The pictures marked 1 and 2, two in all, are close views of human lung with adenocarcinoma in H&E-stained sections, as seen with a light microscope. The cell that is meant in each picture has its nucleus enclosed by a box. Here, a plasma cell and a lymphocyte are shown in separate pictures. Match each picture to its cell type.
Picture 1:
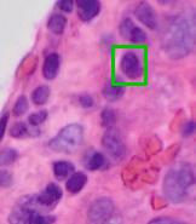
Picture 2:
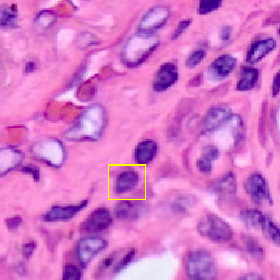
1: lymphocyte
2: plasma cell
